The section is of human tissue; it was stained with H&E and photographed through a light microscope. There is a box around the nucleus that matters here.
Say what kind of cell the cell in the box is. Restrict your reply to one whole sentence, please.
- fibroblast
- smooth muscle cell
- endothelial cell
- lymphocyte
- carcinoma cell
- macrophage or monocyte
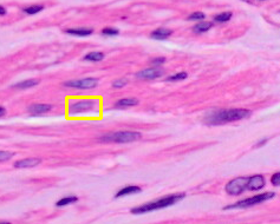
The expected answer is simply that the cell in the box is a smooth muscle cell.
